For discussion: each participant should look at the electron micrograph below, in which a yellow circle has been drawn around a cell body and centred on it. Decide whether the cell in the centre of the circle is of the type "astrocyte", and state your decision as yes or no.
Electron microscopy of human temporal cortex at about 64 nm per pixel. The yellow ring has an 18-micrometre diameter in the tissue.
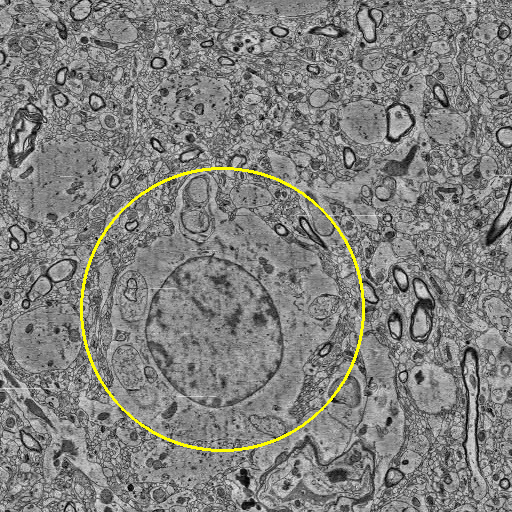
yes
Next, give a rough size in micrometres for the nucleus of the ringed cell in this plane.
In this plane the nucleus measures roughly 9 micrometres across.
